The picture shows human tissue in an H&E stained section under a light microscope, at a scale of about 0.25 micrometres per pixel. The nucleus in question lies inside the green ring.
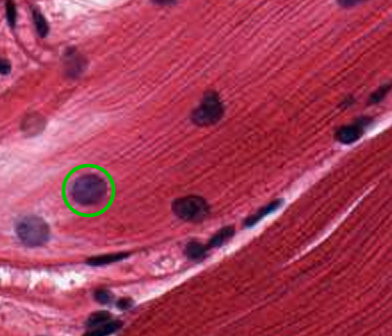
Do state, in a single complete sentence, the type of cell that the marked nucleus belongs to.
The marked nucleus belongs to a skeletal muscle fibre.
